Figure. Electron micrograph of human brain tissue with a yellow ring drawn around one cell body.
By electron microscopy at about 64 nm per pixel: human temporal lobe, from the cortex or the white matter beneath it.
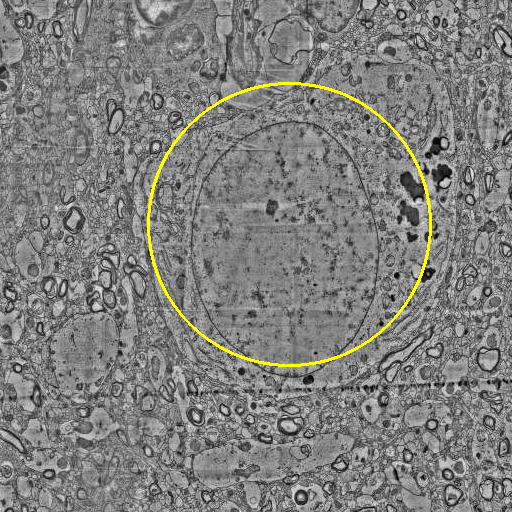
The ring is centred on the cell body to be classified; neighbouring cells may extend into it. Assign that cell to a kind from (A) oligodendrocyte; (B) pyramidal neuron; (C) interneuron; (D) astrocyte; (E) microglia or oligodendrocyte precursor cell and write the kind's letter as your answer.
B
